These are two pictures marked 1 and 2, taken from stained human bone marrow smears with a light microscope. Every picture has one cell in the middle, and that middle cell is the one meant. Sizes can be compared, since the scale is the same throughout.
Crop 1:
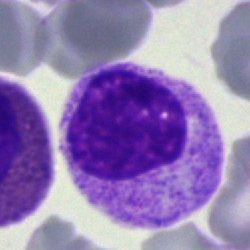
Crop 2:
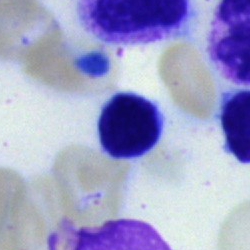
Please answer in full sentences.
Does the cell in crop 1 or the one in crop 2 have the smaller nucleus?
The nucleus in crop 2 is smaller; the one in crop 1 has about 4 times its area.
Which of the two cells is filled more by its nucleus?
In crop 2 the nucleus takes up the larger part of its cell.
